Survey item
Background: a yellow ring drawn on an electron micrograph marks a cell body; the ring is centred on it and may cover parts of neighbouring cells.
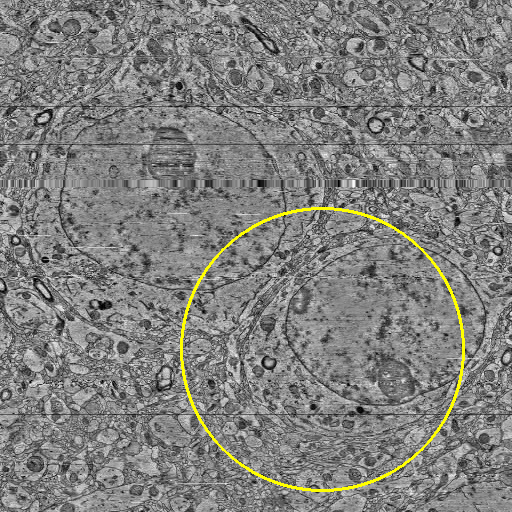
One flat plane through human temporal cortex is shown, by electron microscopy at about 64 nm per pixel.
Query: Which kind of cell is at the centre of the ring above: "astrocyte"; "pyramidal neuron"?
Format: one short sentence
The cell in the middle of the ring is a pyramidal neuron.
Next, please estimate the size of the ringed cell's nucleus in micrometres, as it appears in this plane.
The ringed cell's nucleus measures approximately 13 by 11 micrometres in this plane.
